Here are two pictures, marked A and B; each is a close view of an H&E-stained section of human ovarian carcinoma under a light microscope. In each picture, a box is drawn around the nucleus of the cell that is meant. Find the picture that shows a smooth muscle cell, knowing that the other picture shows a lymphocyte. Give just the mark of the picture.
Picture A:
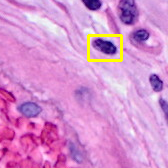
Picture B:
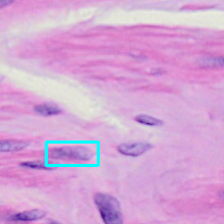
B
